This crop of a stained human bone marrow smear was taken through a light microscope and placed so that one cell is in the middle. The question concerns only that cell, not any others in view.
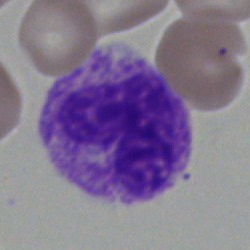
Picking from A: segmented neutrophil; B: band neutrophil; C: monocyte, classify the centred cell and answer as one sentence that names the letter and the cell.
Option B is correct in that the central cell is a band neutrophil.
